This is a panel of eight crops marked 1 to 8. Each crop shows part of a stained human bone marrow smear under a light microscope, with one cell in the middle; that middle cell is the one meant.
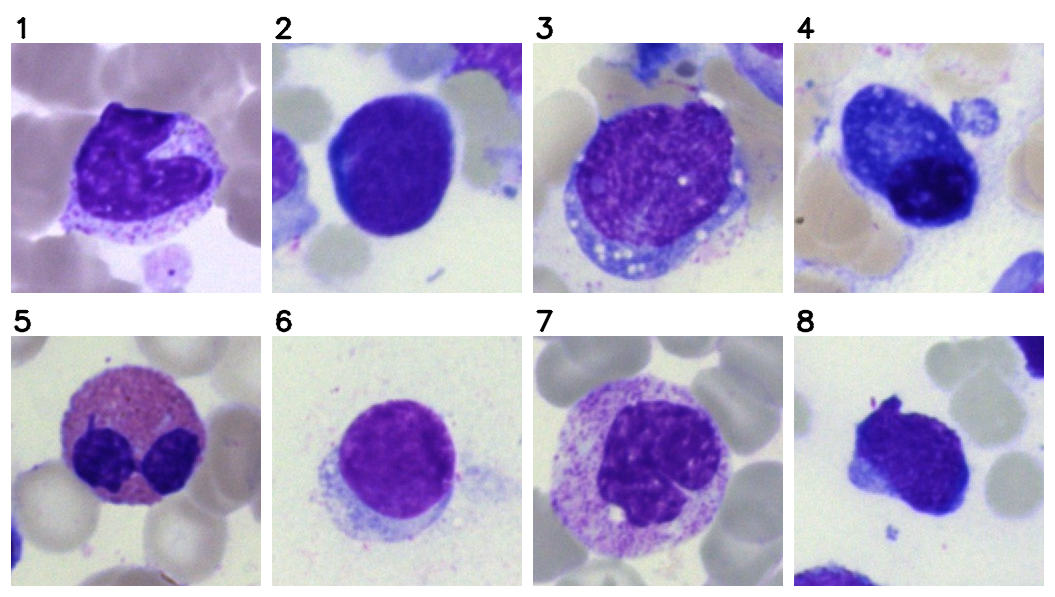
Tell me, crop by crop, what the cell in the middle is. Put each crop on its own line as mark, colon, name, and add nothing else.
1: band neutrophil
2: blast
3: blast
4: plasma cell
5: eosinophil
6: hairy cell
7: metamyelocyte
8: blast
